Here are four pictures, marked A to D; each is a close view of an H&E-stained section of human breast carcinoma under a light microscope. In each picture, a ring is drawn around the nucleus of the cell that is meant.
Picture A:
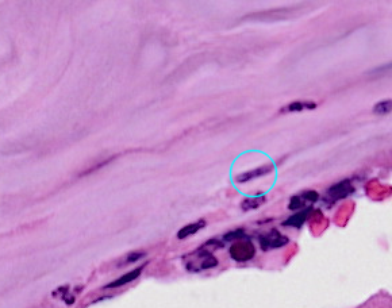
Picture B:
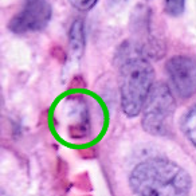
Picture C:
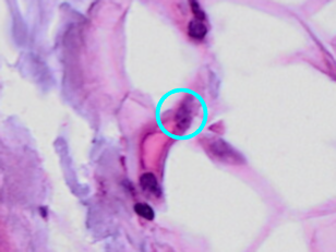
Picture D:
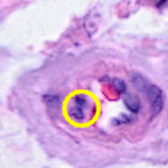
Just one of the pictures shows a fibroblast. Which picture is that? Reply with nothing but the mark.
A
